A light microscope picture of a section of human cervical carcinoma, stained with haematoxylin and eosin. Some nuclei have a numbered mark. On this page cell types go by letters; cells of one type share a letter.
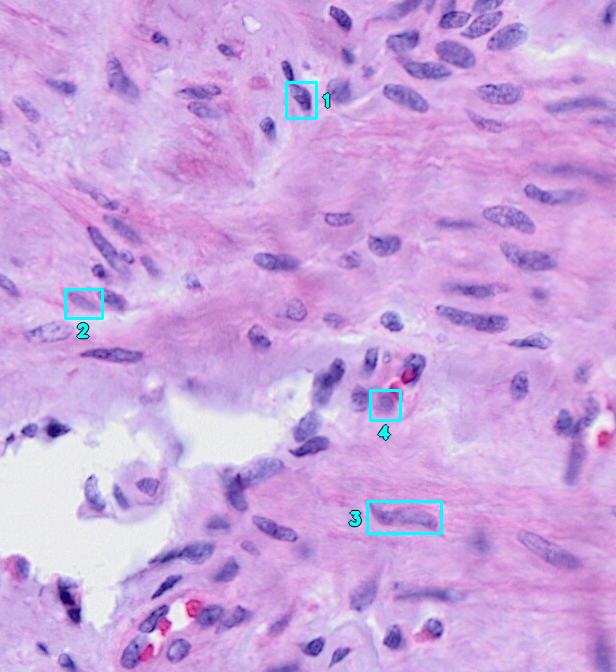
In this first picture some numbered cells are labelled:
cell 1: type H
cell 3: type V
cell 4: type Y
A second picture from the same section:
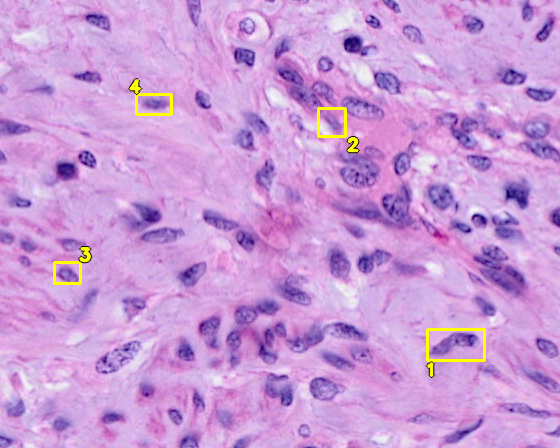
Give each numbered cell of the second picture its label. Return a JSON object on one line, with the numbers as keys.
{"1": "type H", "2": "type Y", "3": "type V", "4": "type H"}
